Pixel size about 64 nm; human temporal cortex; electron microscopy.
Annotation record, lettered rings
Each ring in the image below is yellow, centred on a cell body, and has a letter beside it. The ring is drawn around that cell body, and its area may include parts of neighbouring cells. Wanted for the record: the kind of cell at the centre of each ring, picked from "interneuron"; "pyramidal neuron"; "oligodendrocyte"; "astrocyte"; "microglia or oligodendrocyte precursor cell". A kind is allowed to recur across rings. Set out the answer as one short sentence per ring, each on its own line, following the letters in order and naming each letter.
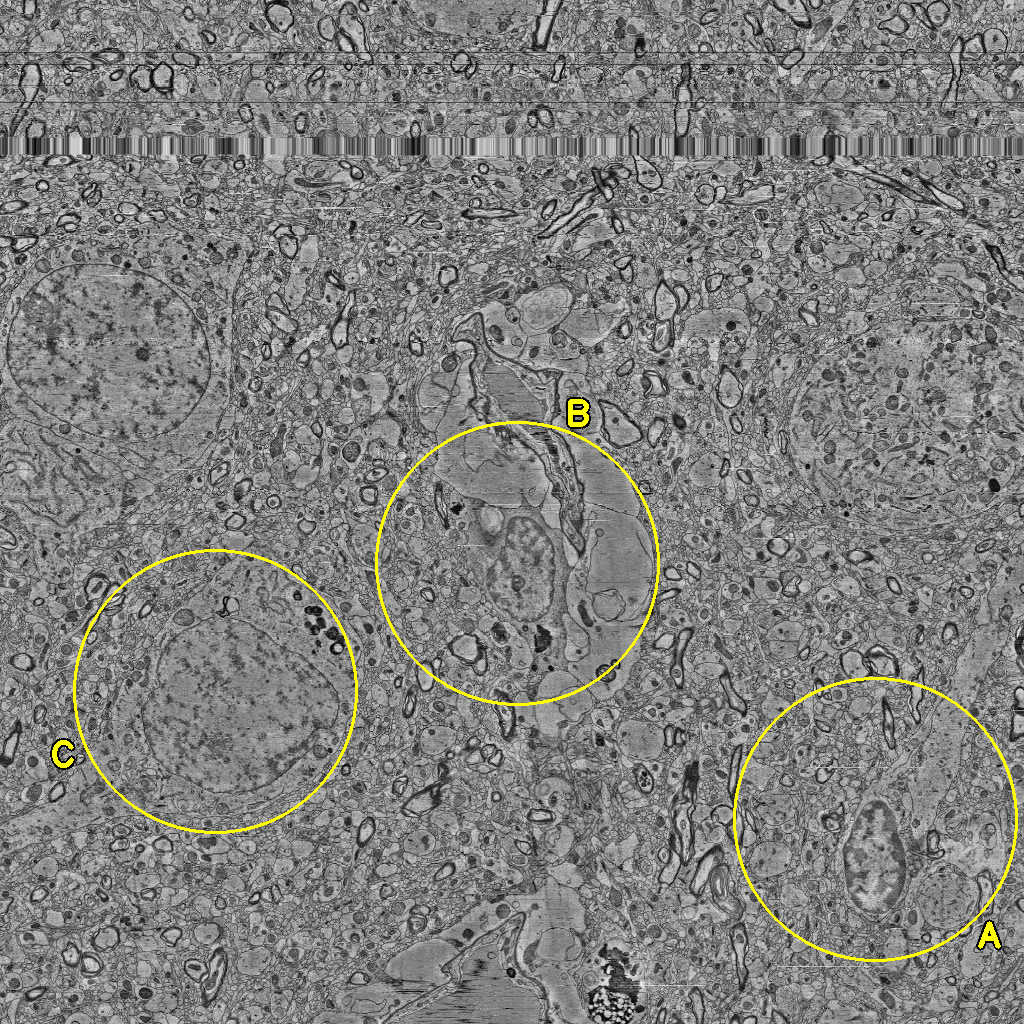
Ring A was drawn on a microglial cell or oligodendrocyte precursor cell.
Ring B was drawn on an oligodendrocyte.
Ring C was drawn on a pyramidal neuron.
